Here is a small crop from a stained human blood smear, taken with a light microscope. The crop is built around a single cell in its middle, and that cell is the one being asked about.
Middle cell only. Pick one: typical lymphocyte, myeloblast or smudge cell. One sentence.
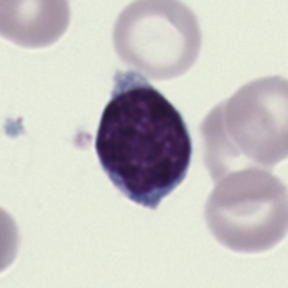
The cell centered in this field of view is a typical lymphocyte.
